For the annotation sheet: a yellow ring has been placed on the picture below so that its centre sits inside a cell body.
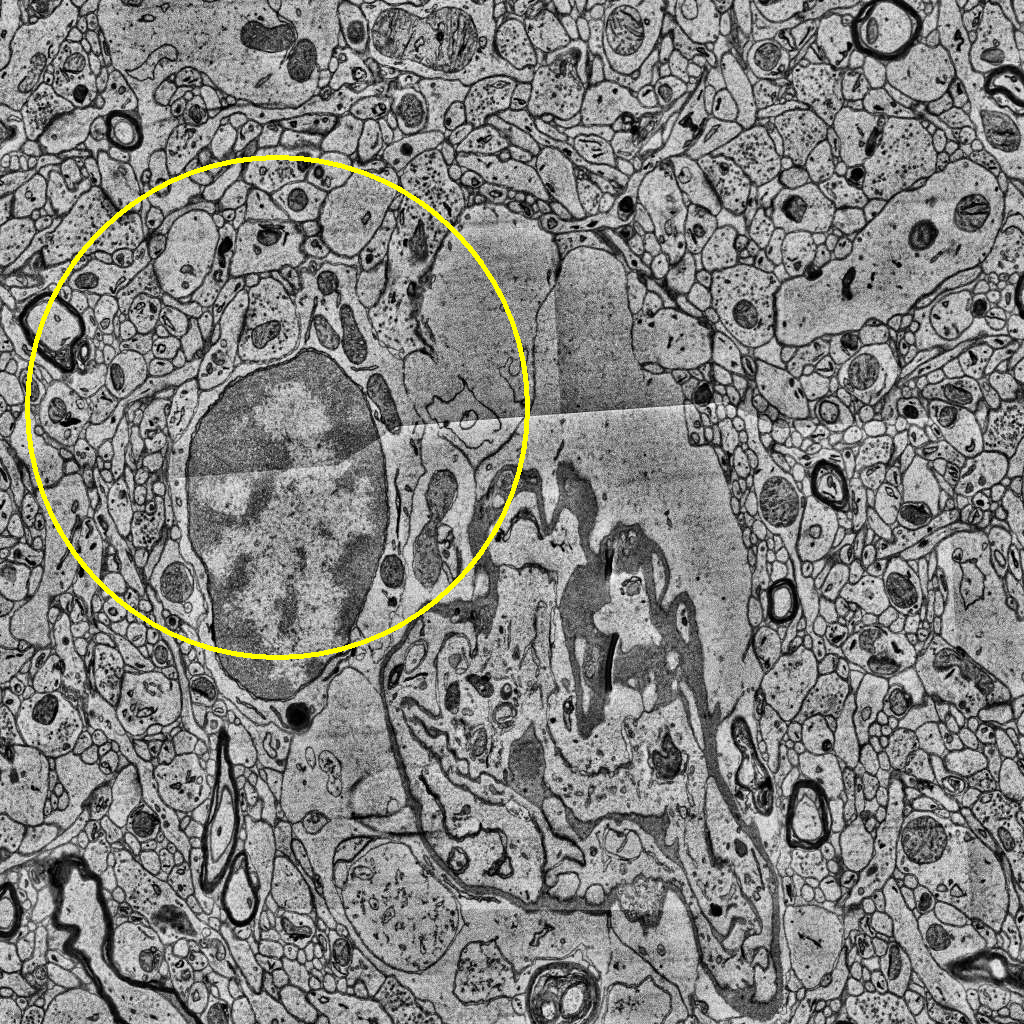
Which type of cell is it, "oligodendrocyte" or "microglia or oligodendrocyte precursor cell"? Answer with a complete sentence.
The cell at the ring's centre is a microglial cell or oligodendrocyte precursor cell.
